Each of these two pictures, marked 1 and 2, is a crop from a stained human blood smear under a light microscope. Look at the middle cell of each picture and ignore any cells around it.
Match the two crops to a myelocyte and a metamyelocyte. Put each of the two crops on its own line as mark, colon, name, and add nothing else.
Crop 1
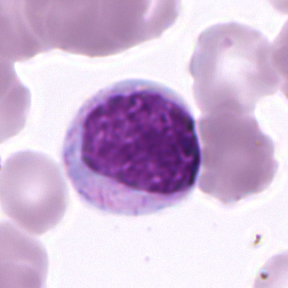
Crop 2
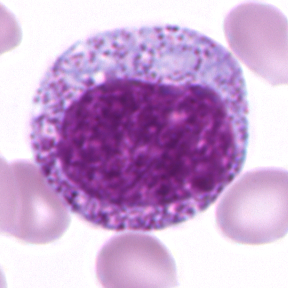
1: metamyelocyte
2: myelocyte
